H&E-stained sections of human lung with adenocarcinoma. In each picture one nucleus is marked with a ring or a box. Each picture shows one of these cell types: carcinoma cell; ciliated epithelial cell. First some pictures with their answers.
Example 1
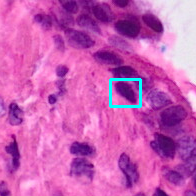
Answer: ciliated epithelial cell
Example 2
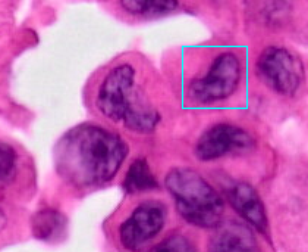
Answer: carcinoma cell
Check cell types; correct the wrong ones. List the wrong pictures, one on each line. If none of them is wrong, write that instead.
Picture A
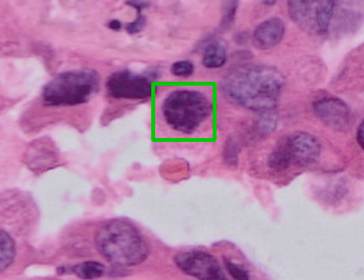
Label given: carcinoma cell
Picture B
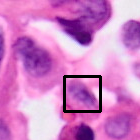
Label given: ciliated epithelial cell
B: change ciliated epithelial cell to carcinoma cell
